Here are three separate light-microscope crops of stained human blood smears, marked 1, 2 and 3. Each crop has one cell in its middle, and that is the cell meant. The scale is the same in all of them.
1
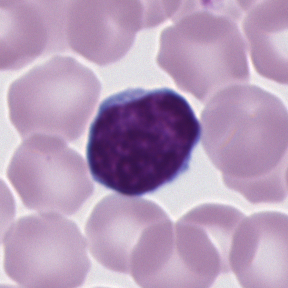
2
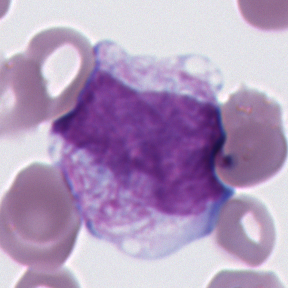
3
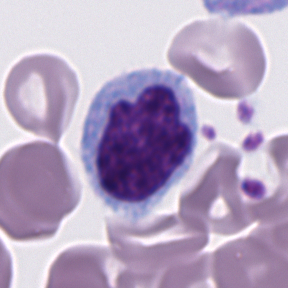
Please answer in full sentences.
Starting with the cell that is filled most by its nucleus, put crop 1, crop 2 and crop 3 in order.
The most filled comes first: 1, 3, 2.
